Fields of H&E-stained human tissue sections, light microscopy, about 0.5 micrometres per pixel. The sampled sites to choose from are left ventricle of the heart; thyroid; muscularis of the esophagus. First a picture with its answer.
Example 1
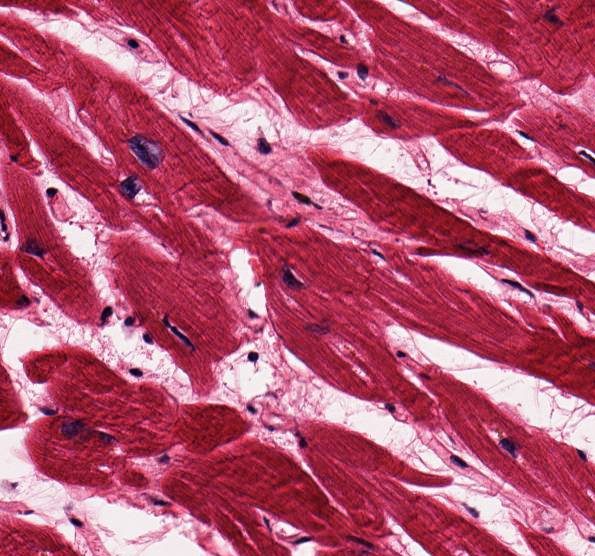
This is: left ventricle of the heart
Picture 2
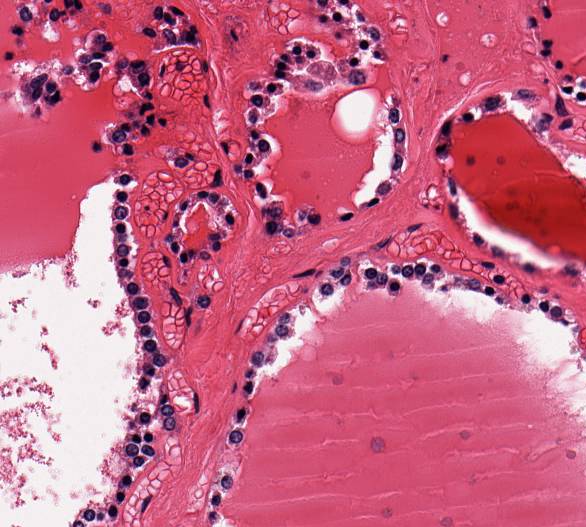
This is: thyroid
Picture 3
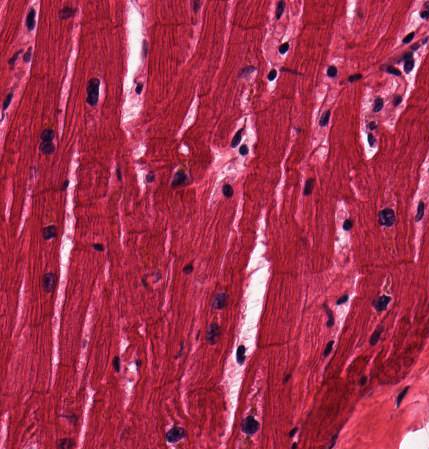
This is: left ventricle of the heart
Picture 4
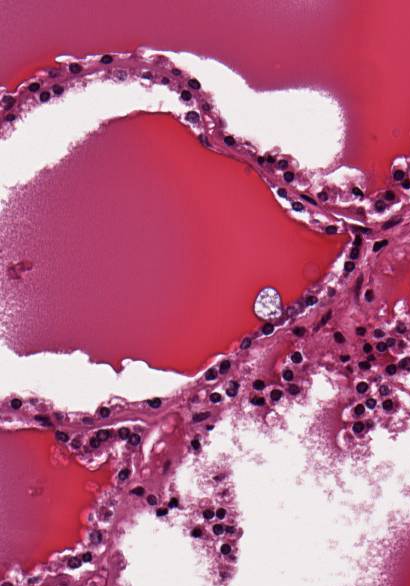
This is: thyroid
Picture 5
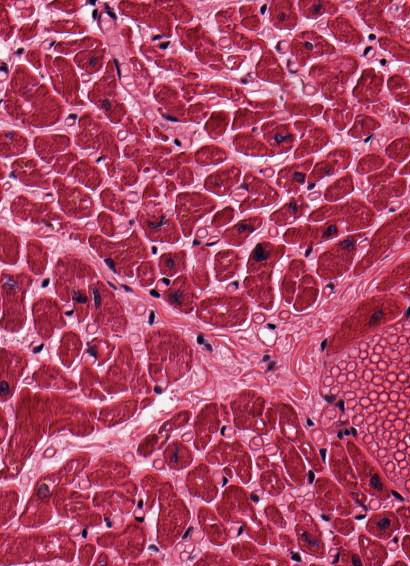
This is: left ventricle of the heart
